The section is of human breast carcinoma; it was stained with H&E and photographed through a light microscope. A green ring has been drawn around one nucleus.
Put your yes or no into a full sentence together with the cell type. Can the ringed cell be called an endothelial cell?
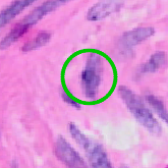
Yes, an endothelial cell is the identity of the ringed cell in this section.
